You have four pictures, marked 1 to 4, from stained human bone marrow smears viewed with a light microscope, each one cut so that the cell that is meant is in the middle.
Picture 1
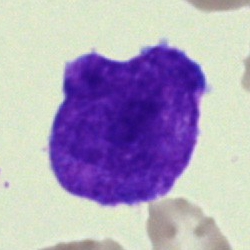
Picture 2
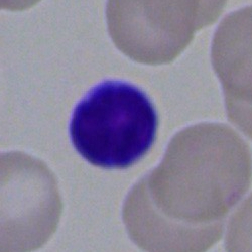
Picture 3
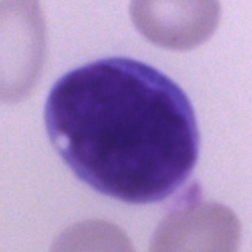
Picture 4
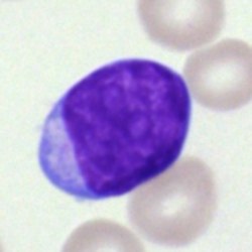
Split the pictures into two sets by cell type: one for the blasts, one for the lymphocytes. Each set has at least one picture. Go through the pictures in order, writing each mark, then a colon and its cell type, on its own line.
1: blast
2: lymphocyte
3: blast
4: blast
